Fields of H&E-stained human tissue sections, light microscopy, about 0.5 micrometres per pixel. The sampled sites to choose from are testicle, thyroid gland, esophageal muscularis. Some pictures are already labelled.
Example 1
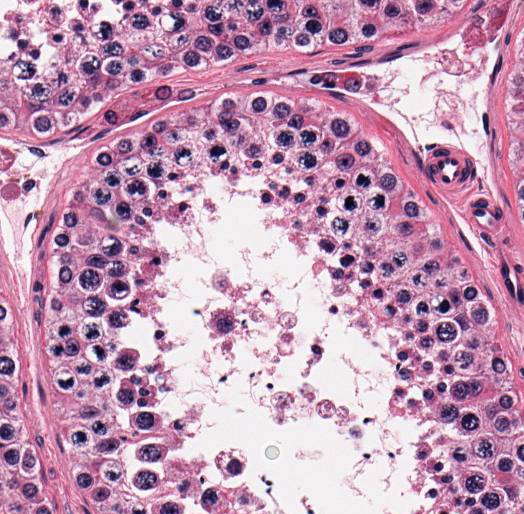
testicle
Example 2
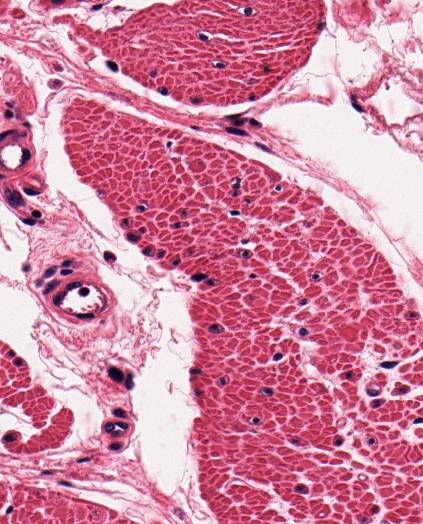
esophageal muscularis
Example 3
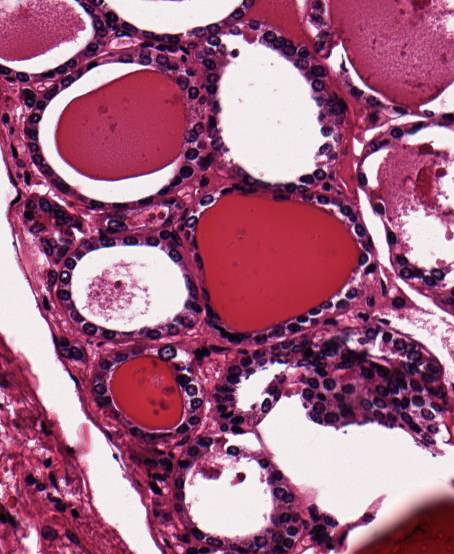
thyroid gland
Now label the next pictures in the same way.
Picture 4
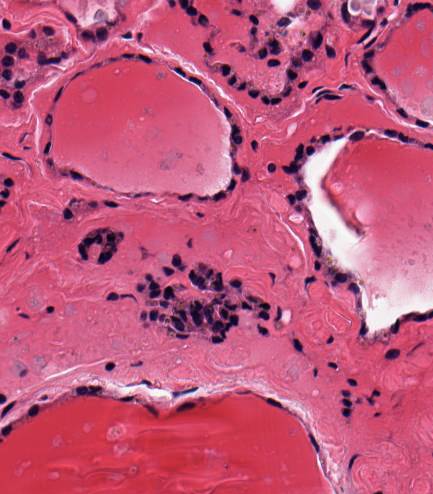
thyroid gland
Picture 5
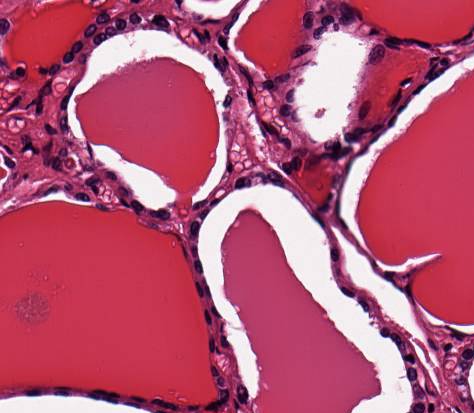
thyroid gland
